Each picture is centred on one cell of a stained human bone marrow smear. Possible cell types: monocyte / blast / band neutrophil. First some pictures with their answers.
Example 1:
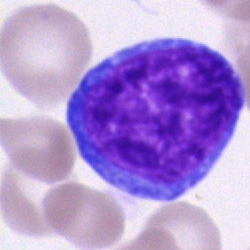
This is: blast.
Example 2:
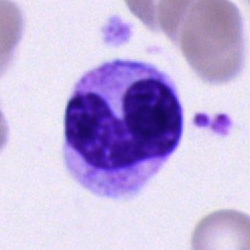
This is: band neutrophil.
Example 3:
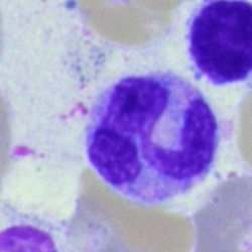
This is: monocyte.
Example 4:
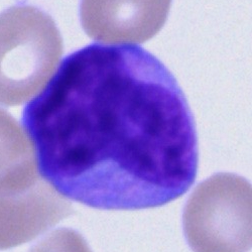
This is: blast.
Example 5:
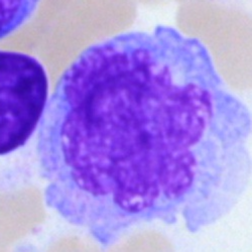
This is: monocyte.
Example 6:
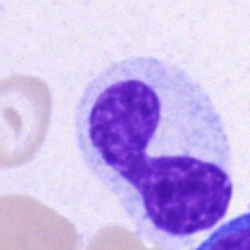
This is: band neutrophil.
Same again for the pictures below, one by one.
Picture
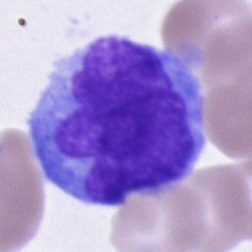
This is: monocyte.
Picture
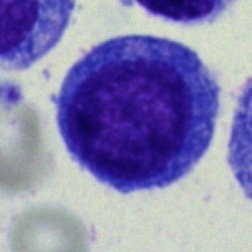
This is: blast.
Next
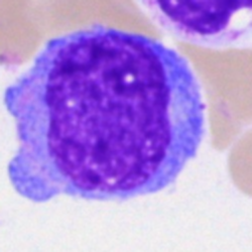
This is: blast.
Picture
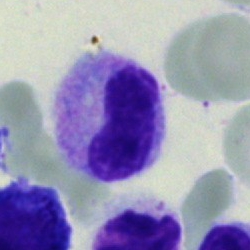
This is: band neutrophil.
